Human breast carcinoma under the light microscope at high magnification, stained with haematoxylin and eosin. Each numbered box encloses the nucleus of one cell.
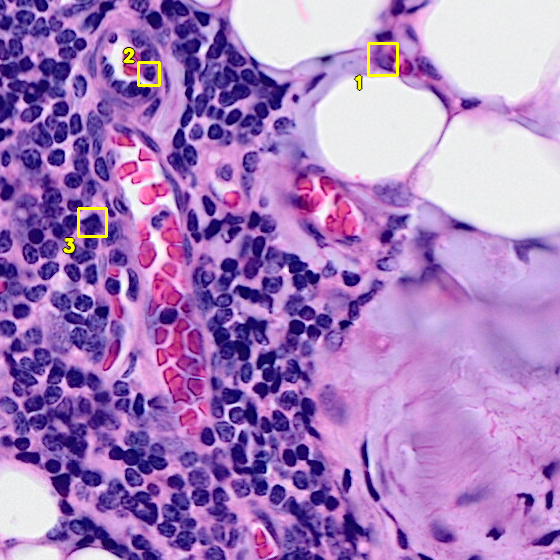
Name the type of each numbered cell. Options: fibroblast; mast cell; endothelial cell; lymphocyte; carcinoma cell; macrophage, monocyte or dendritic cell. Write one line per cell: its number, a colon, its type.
1: endothelial cell
2: endothelial cell
3: lymphocyte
